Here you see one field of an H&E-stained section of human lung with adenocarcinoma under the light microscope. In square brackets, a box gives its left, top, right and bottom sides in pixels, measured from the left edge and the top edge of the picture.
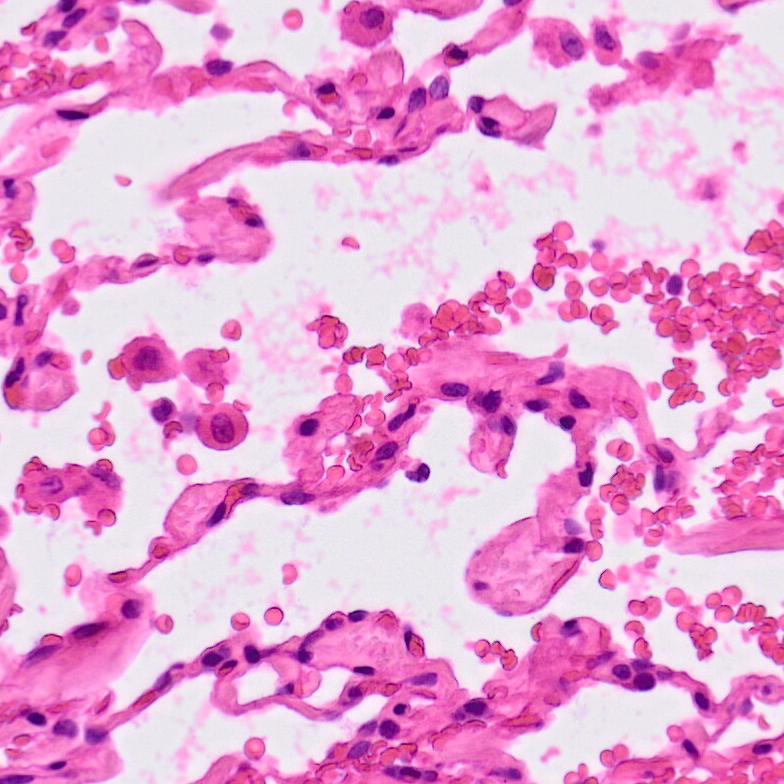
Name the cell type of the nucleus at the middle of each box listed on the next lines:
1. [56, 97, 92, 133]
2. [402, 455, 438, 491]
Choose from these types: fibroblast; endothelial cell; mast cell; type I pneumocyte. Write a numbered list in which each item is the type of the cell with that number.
1. endothelial cell
2. type I pneumocyte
